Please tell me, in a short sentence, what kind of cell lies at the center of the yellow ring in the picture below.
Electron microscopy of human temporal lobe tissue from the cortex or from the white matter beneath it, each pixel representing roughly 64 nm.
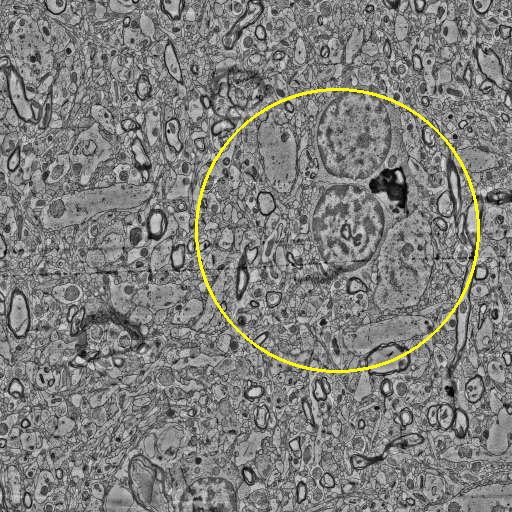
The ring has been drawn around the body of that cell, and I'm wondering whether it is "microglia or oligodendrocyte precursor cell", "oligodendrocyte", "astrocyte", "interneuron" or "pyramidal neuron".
The cell at the center of the ring is an oligodendrocyte.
